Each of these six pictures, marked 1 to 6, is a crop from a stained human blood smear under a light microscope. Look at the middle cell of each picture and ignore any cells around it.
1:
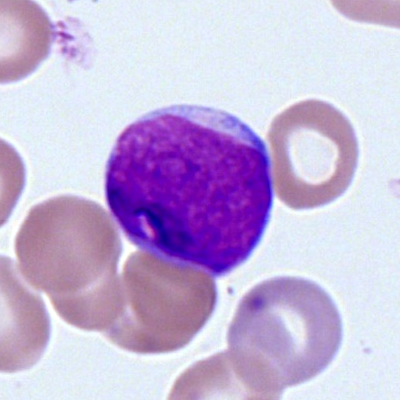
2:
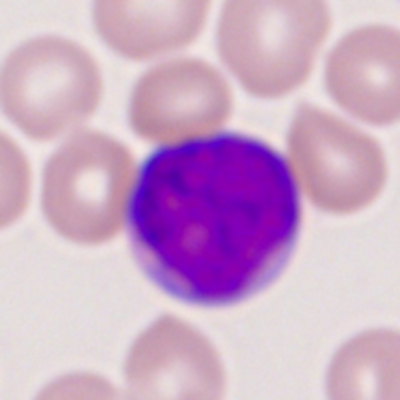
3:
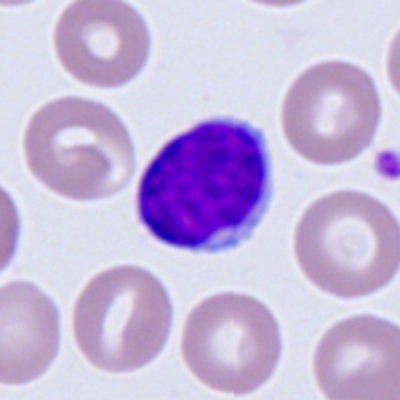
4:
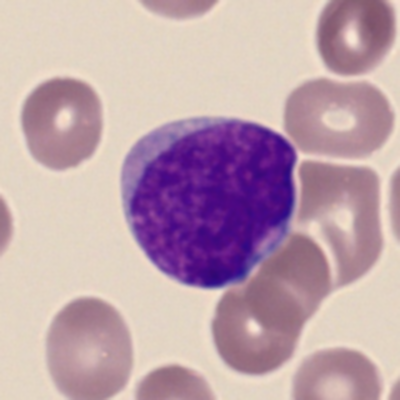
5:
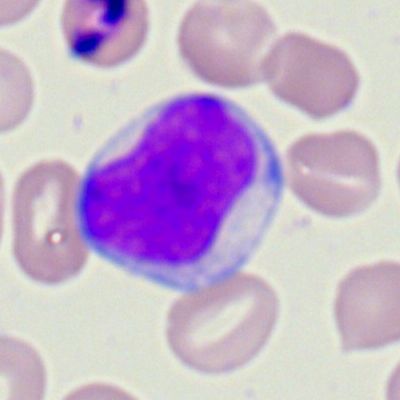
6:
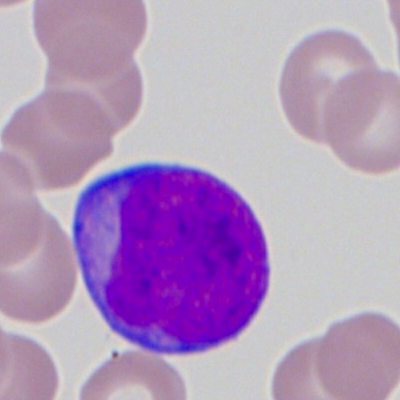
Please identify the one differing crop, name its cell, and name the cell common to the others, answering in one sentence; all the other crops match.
Differing from the rest, crop 3 shows a lymphocyte; the others all show myeloblasts.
